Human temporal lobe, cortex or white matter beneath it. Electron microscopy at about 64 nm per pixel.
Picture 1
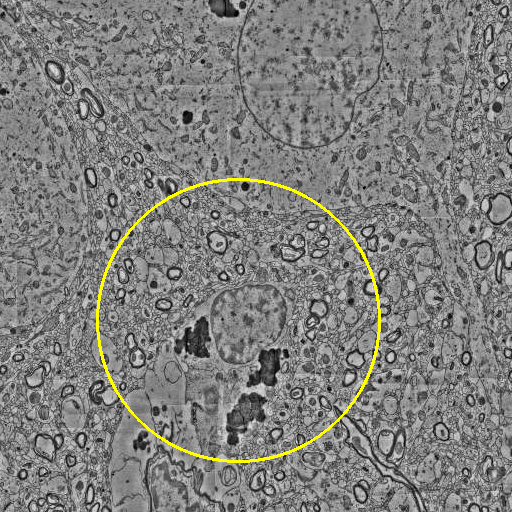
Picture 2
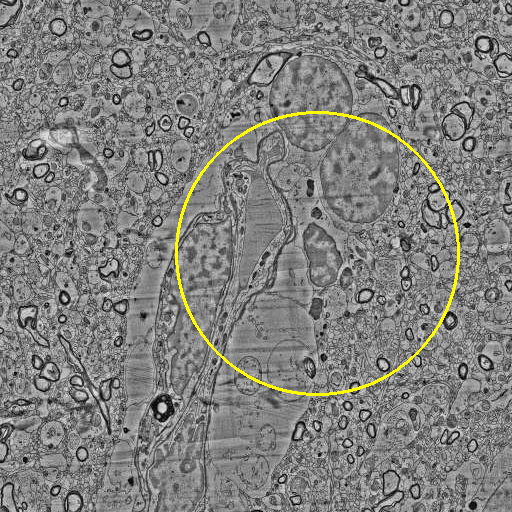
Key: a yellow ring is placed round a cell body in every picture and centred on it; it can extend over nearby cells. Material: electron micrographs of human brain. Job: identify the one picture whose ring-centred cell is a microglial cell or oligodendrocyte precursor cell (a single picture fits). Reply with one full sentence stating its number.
Picture 2 is the one with the sought cell at the centre of its ring.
